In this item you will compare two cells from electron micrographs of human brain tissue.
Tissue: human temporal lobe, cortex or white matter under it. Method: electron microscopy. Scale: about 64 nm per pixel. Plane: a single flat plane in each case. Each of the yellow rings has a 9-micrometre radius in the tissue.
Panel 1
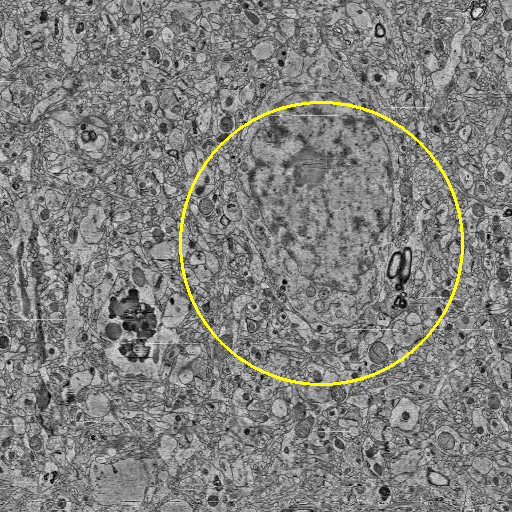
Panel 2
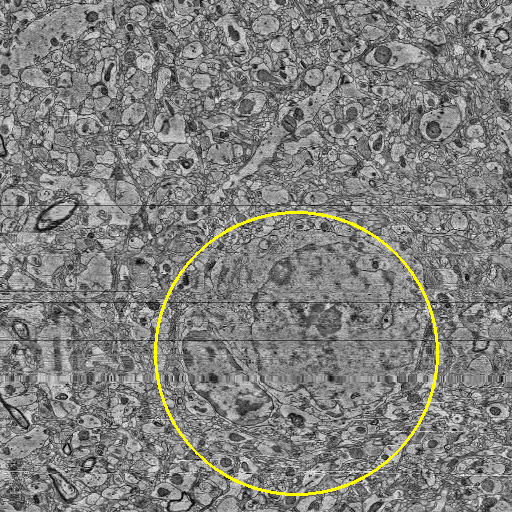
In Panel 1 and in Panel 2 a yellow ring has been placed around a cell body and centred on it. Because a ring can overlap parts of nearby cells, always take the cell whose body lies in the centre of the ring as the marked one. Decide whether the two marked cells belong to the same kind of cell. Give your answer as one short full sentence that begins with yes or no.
Yes, the two marked cells belong to the same kind of cell.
